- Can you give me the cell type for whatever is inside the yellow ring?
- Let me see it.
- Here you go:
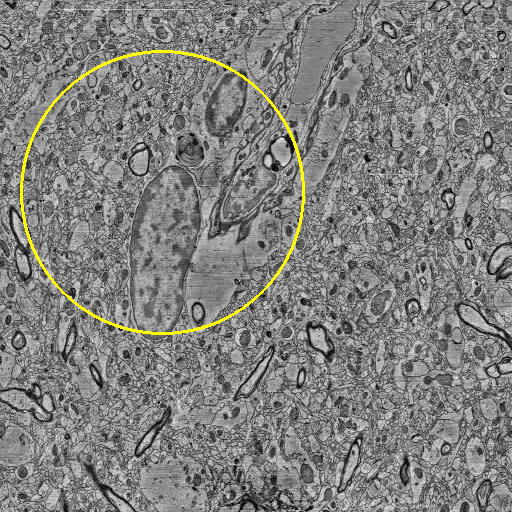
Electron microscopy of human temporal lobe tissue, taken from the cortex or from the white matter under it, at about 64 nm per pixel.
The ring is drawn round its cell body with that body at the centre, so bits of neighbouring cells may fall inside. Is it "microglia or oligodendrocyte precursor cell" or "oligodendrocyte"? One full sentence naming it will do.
The cell body in the middle of the ring in this picture belongs to a microglial cell or oligodendrocyte precursor cell.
